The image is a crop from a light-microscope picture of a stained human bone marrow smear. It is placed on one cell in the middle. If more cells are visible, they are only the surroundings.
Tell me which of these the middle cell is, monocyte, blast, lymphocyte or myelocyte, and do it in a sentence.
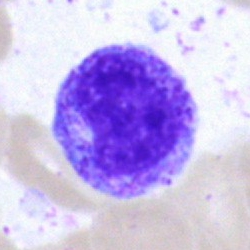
Where the crop is centred, there is a myelocyte.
